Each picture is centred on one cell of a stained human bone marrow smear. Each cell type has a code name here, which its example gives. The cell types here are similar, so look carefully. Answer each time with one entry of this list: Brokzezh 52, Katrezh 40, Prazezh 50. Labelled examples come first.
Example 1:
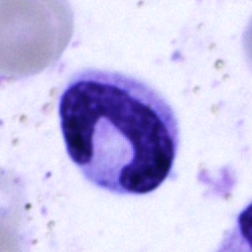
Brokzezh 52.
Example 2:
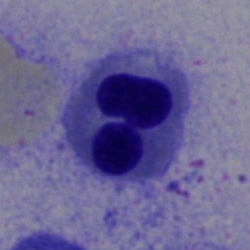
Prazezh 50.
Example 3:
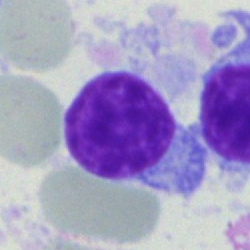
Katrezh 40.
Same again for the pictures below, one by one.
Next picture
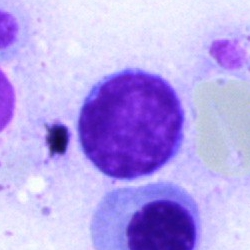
Katrezh 40.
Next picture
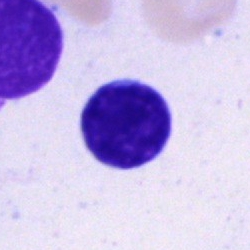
Katrezh 40.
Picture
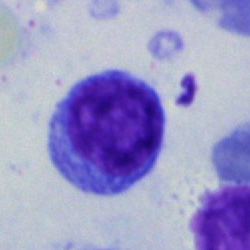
Katrezh 40.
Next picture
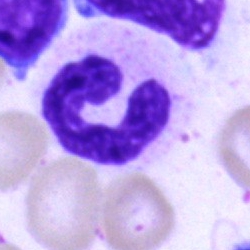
Brokzezh 52.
